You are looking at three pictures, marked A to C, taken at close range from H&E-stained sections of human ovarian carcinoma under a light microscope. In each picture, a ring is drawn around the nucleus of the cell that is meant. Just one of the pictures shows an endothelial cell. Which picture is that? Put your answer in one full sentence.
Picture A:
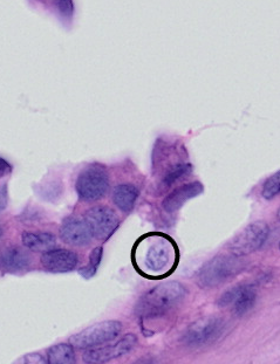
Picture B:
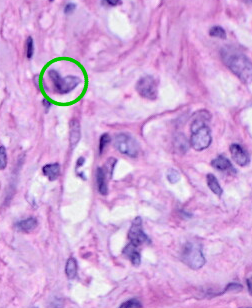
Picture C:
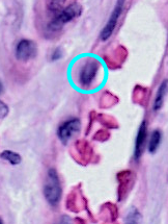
The endothelial cell is the one in picture C.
